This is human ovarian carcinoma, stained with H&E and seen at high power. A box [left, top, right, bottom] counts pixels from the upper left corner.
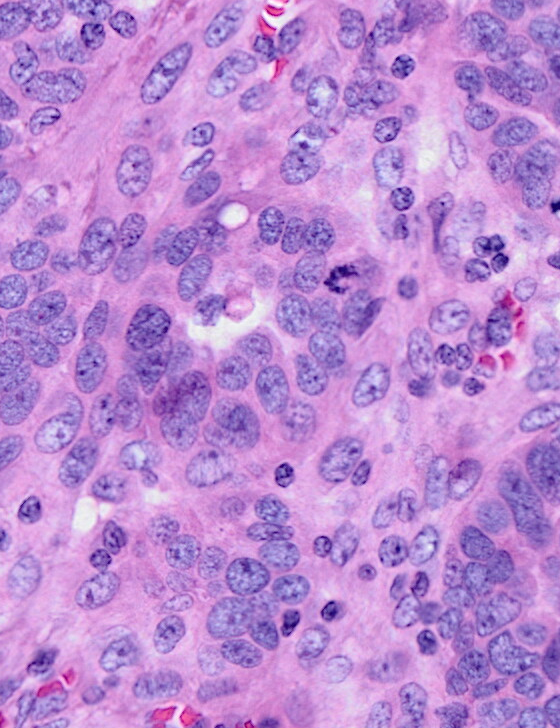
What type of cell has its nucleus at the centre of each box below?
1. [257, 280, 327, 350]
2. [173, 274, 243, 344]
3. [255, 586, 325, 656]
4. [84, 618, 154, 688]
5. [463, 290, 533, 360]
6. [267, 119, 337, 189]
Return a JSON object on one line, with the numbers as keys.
{"1": "carcinoma cell", "2": "macrophage or monocyte", "3": "lymphocyte", "4": "fibroblast", "5": "endothelial cell", "6": "fibroblast"}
